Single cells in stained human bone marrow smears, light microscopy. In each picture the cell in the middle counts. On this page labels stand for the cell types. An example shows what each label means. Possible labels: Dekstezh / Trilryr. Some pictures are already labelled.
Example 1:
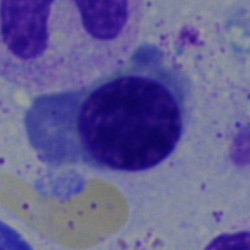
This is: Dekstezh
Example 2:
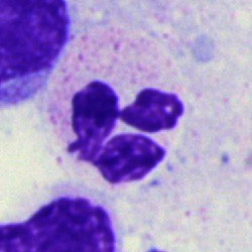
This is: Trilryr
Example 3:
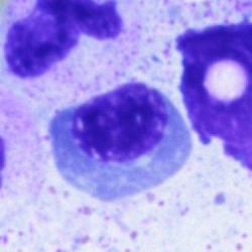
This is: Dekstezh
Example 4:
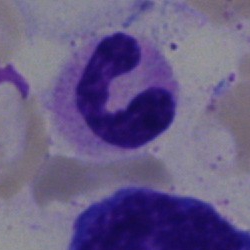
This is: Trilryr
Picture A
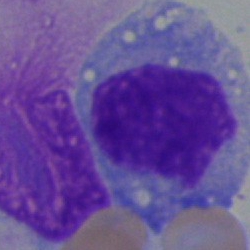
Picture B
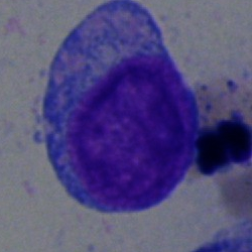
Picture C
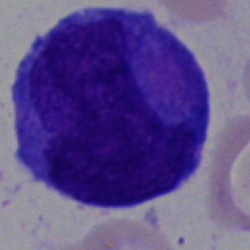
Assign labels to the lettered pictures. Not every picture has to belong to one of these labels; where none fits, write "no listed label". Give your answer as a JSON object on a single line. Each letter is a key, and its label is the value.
{"A": "no listed label", "B": "no listed label", "C": "no listed label"}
